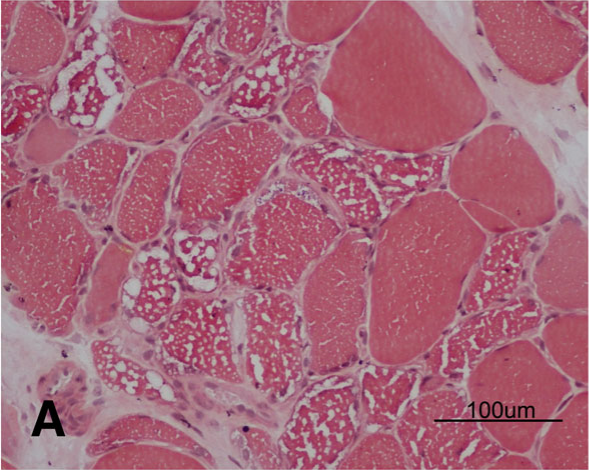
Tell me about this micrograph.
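This is skeletal muscle cut in cross-section, with polygonal muscle fibers of varied size separated by thin pale connective tissue. Most fibers are riddled with numerous small clear vacuoles that give them a speckled, sieve-like look, and some contain larger round clear spaces. A few large fibers are uniformly pink and lack these vacuoles. Small dark nuclei lie at the edges of the fibers and in the spaces between them.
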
